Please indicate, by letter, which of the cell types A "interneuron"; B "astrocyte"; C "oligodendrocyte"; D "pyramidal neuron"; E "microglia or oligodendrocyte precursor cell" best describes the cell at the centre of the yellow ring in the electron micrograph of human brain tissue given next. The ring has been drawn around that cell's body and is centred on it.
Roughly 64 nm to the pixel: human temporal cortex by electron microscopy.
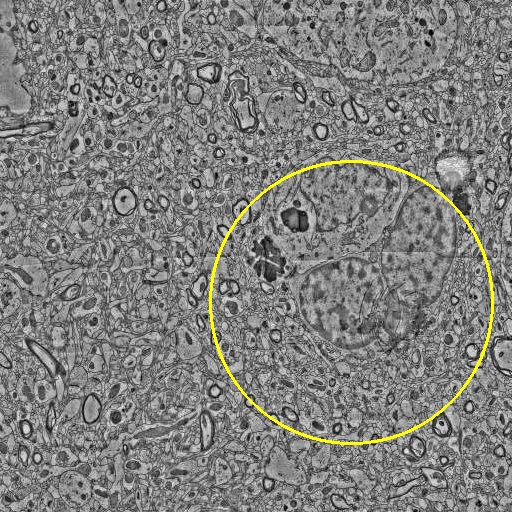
C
